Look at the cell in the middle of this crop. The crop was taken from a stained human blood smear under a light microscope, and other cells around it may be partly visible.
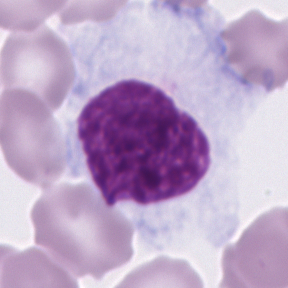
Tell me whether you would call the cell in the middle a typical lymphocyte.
no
